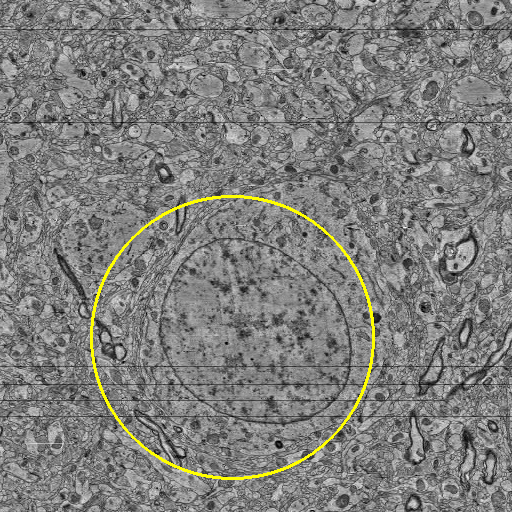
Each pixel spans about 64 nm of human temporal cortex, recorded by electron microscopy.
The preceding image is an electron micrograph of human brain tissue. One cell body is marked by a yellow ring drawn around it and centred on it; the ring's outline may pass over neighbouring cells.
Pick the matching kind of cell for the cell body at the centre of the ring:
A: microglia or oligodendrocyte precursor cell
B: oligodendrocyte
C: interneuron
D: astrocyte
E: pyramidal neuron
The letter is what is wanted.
E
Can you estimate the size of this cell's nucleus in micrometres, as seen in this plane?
In this plane the nucleus spans approximately 13 by 11 micrometers.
